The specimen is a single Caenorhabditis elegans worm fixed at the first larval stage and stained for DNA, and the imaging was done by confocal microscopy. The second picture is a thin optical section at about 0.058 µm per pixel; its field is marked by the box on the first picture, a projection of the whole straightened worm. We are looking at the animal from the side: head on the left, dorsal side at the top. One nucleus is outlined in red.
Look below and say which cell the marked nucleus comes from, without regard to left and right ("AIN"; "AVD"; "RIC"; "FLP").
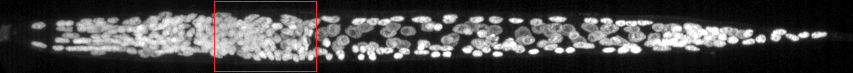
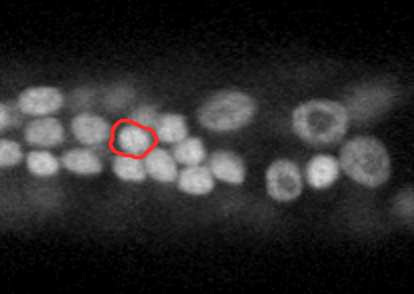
AVD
